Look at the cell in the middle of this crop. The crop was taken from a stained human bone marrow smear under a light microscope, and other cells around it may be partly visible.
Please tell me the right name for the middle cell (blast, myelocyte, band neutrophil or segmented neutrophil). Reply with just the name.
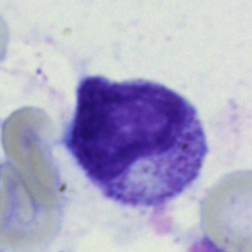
myelocyte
